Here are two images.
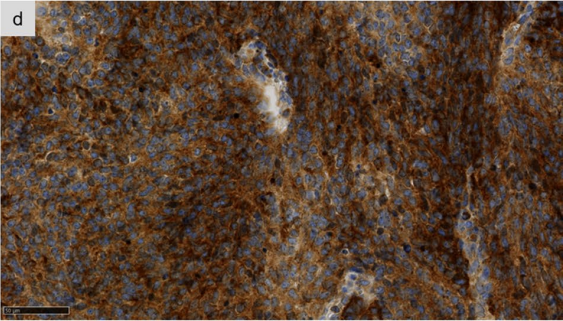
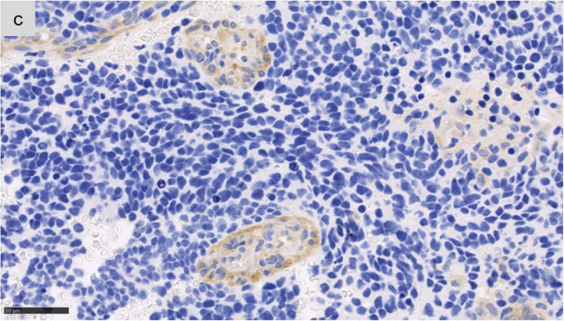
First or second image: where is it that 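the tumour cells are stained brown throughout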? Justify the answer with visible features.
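The first image. First image: the sheet of tumour cells shows strong brown cytoplasmic staining throughout. Second image: the tumour cells show blue nuclei only, with brown confined to vessel walls.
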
